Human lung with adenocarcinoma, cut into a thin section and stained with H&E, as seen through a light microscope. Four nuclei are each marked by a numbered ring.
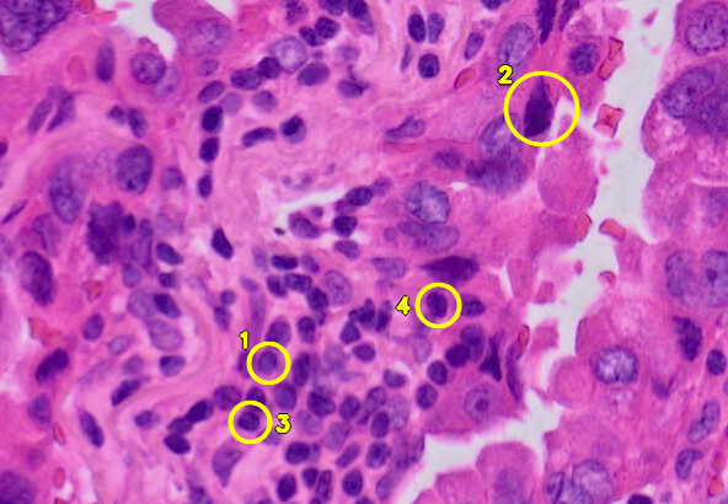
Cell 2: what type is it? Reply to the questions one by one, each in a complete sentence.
Of the numbered cells, the one labelled 2 is a carcinoma cell.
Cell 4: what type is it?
Cell 4 of the marked set is a lymphocyte.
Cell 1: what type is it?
Among the marked cells, number 1 is a lymphocyte.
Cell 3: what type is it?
The cell indicated by marker 3 is a lymphocyte in this section.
